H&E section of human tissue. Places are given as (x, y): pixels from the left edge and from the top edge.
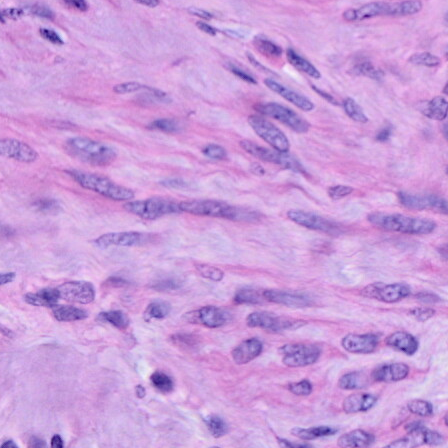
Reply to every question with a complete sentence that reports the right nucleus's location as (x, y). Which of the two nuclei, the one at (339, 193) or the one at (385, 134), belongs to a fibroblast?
The nucleus whose position is (385, 134) belongs to a fibroblast.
